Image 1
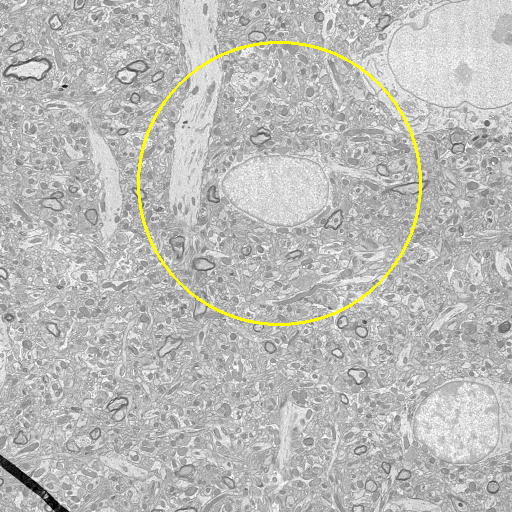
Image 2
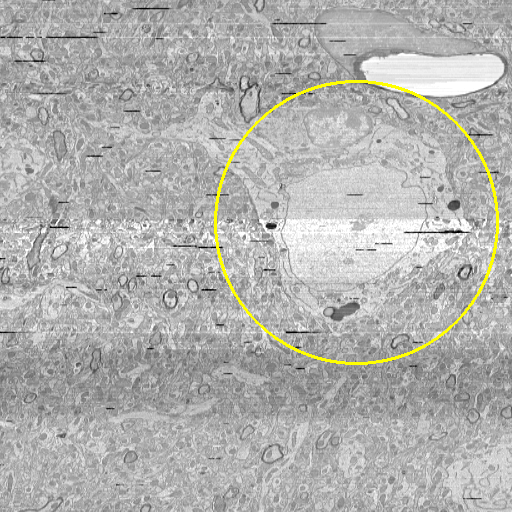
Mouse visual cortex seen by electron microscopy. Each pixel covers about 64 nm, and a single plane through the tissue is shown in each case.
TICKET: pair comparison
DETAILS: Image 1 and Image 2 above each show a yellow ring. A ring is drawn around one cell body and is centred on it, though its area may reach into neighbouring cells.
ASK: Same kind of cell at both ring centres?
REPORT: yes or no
no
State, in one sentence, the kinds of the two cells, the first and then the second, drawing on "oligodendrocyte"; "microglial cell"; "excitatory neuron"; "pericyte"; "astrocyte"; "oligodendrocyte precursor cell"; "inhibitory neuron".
The ring in the second picture is centred on an excitatory neuron, the ring in the first on an astrocyte.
